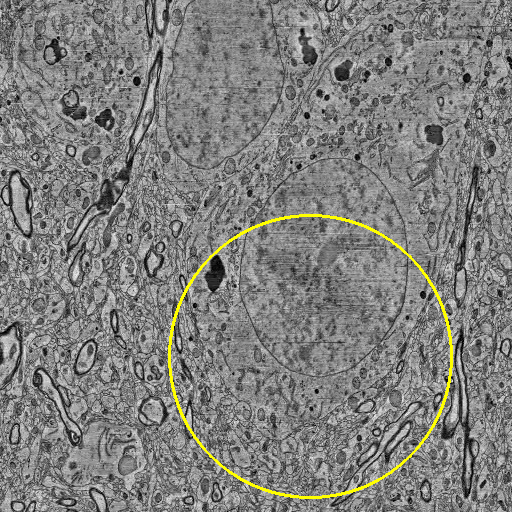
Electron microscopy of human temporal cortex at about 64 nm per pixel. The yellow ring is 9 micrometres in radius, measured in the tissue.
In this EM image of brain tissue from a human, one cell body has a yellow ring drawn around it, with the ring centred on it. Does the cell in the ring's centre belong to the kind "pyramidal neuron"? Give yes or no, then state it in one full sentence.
Yes, in the picture, the cell centred in the yellow ring belongs to that kind.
